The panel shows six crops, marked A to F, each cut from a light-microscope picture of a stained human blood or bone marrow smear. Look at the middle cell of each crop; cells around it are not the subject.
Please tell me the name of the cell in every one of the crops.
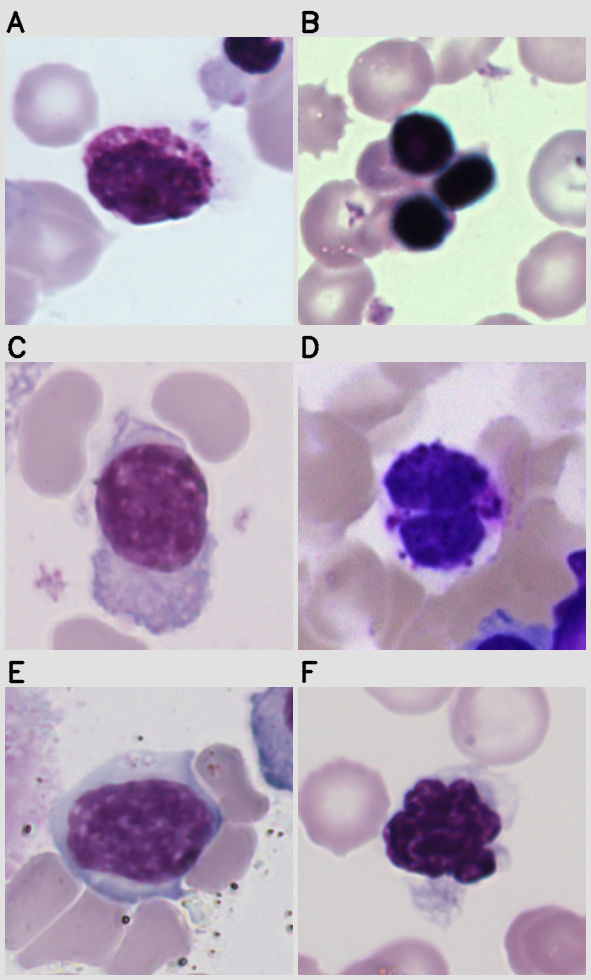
A: basophil
B: normoblast
C: plasma cell
D: basophil
E: plasma cell
F: normoblast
